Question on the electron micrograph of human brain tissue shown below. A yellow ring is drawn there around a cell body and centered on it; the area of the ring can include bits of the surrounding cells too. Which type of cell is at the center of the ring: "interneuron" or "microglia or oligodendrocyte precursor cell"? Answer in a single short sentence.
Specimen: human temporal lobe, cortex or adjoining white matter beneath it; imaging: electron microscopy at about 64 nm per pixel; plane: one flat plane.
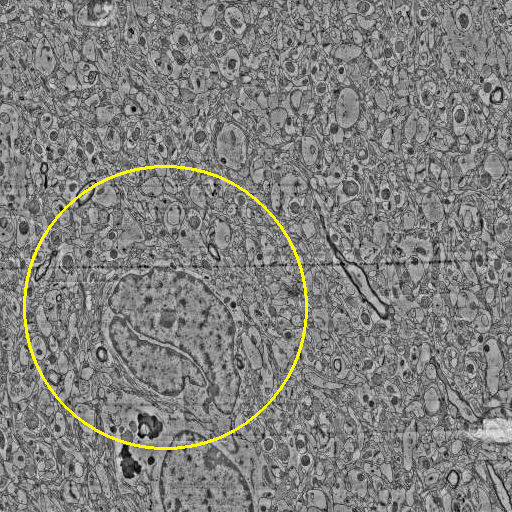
The ring is centered on a microglial cell or oligodendrocyte precursor cell.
